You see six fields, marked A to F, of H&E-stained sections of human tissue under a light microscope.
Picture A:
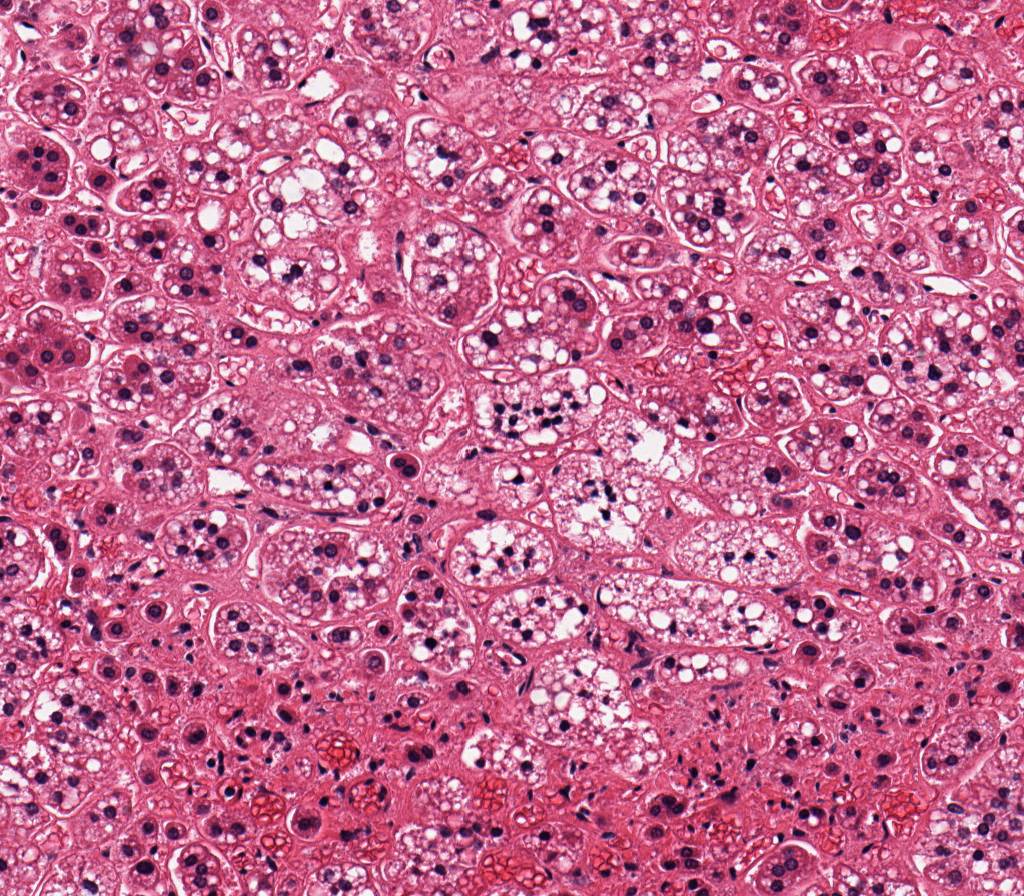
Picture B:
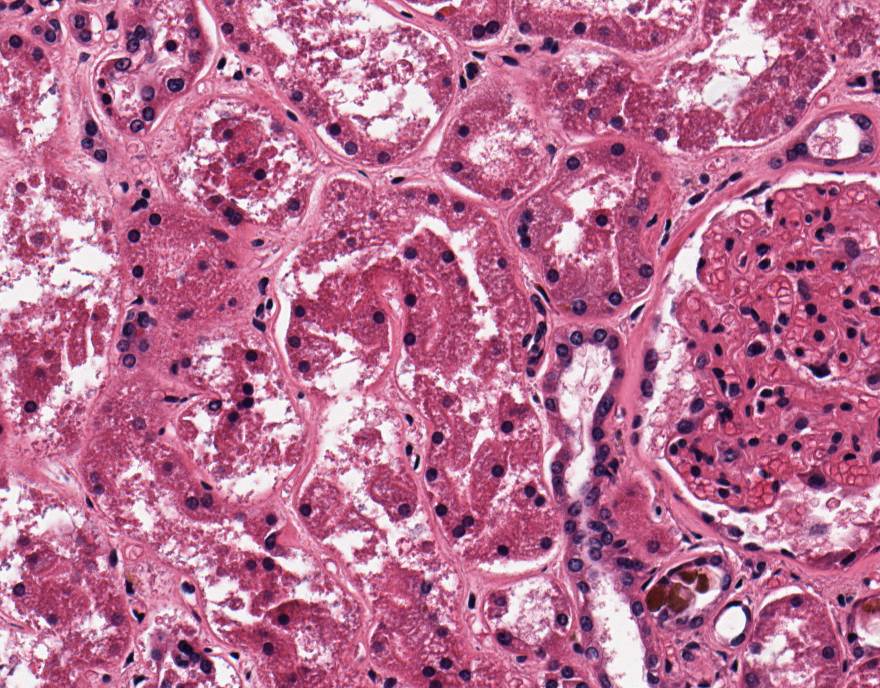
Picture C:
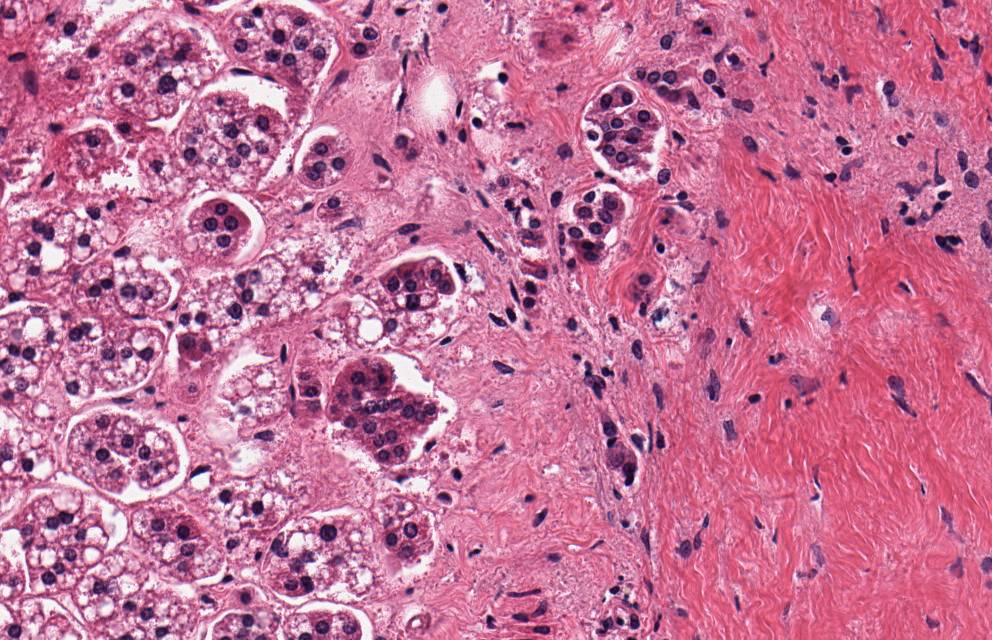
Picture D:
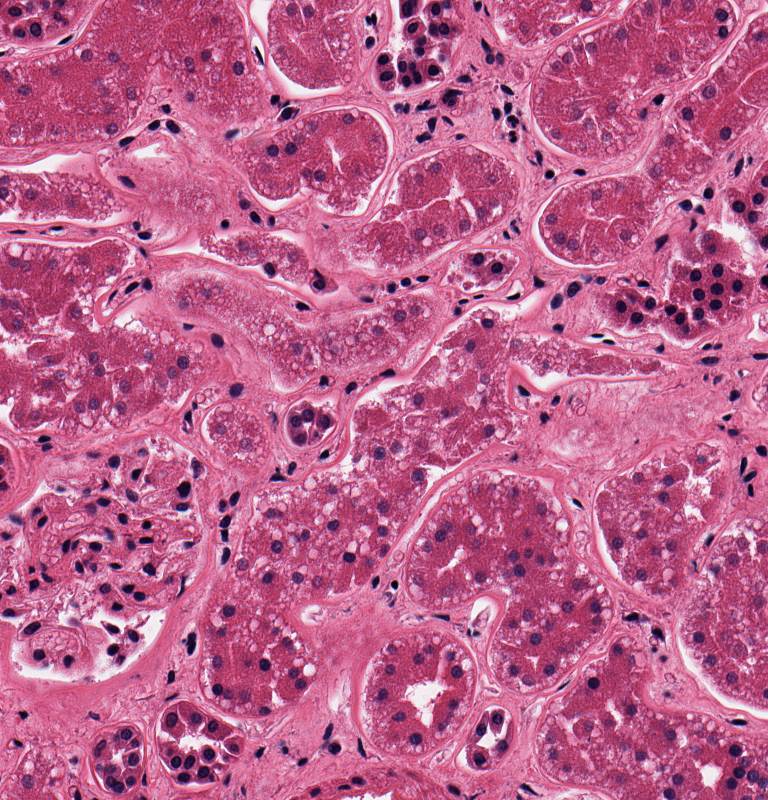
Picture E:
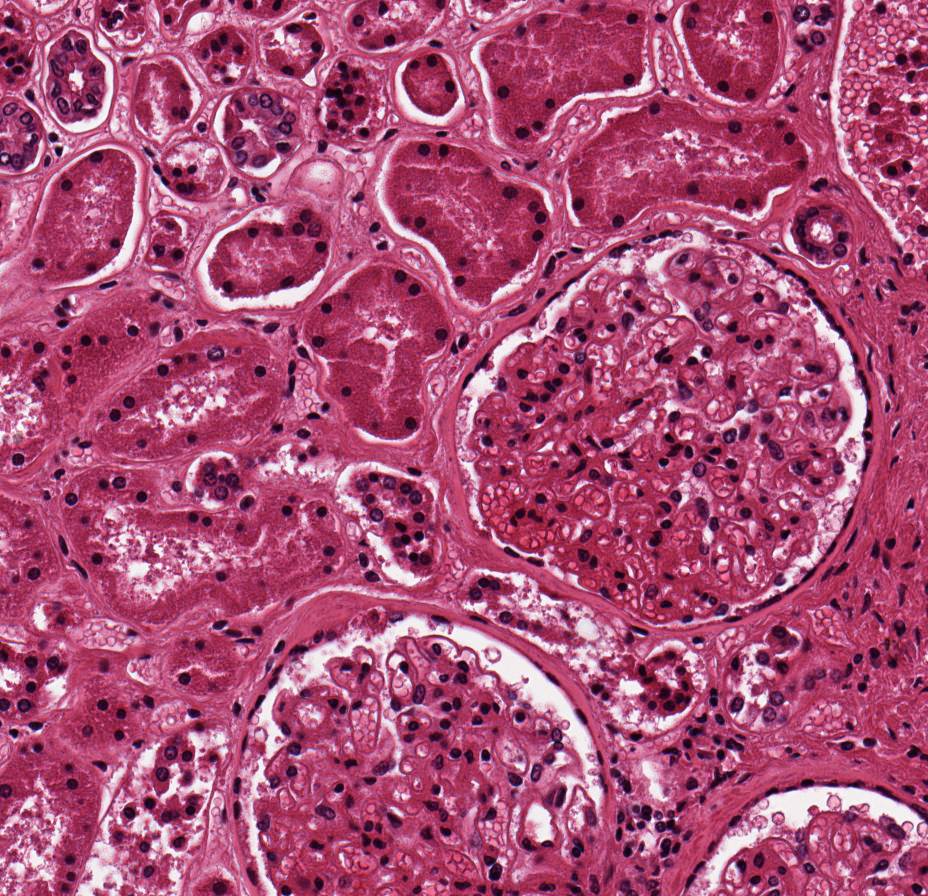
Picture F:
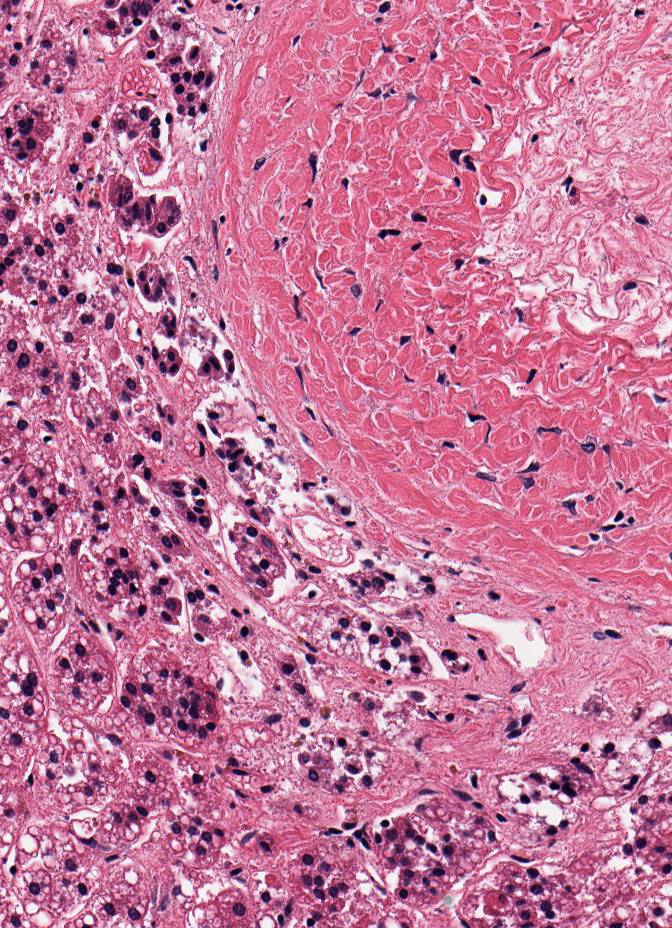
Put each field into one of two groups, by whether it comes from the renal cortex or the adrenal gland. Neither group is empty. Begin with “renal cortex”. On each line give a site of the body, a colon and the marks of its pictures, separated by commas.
renal cortex: B, D, E
adrenal gland: A, C, F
